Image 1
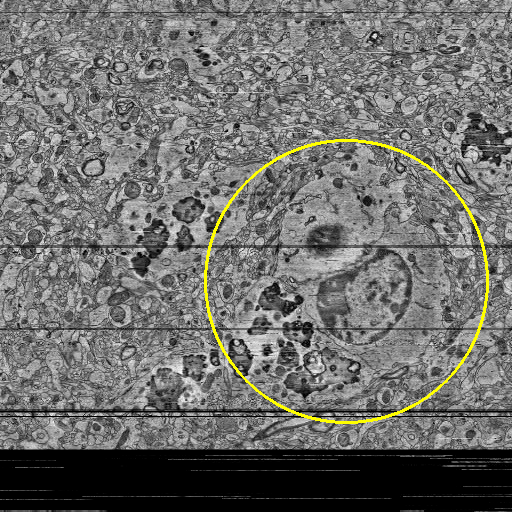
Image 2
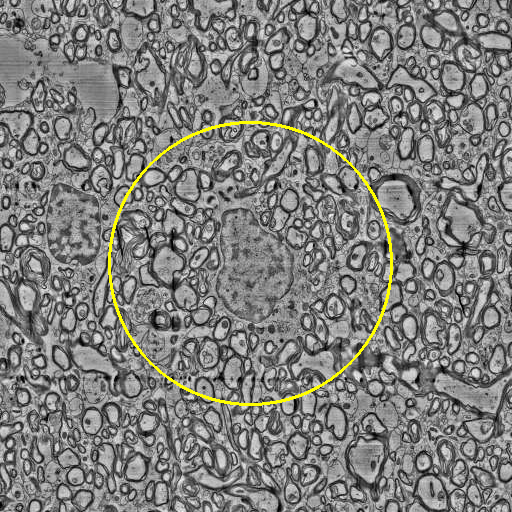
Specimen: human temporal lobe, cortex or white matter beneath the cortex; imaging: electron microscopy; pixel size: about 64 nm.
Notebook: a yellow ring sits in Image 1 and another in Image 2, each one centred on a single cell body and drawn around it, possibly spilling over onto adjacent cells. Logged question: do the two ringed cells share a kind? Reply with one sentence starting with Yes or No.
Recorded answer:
No, the centre cells inside the rings of Image 1 and Image 2 are of two kinds.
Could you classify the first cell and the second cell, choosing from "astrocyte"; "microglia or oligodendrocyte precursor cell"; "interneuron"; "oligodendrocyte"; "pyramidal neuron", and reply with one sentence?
The second cell is an oligodendrocyte, while the first is an astrocyte.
